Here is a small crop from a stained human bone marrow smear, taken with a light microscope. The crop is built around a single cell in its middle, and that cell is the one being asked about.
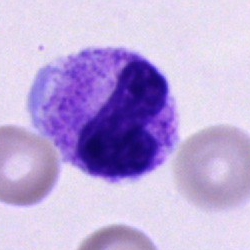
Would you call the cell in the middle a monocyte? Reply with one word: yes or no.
no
